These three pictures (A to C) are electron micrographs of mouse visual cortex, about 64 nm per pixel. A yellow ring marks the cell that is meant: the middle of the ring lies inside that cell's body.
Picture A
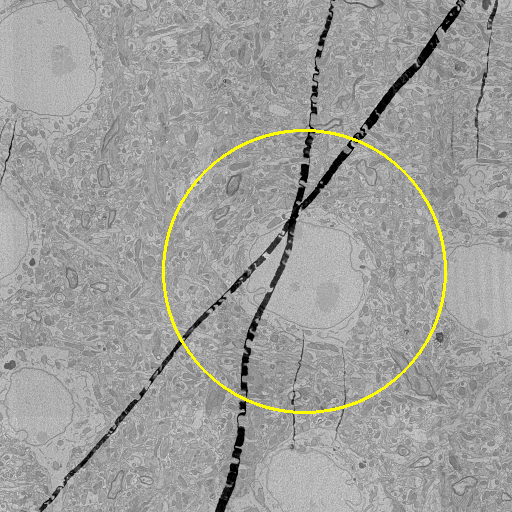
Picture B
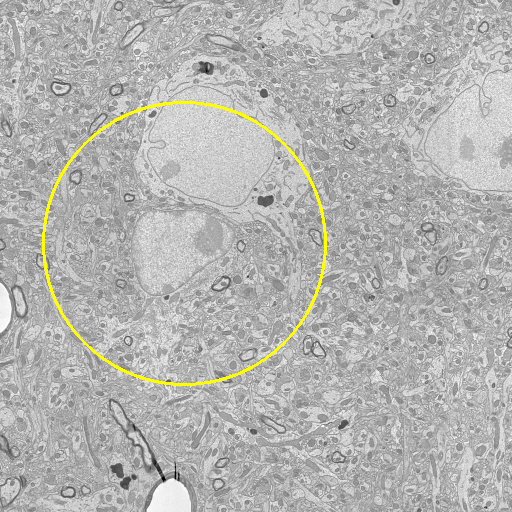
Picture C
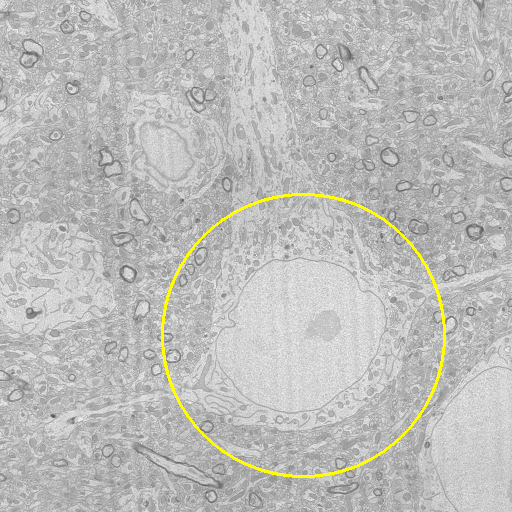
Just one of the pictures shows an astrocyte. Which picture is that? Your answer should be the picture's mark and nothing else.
B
